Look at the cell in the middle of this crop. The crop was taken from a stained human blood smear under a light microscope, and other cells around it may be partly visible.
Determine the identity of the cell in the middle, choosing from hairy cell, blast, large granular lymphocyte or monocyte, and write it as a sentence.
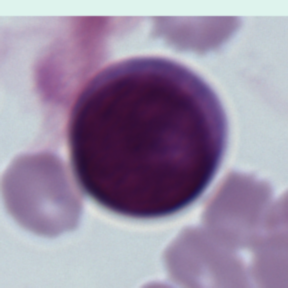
The cell that lies at the centre of the crop is a blast.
